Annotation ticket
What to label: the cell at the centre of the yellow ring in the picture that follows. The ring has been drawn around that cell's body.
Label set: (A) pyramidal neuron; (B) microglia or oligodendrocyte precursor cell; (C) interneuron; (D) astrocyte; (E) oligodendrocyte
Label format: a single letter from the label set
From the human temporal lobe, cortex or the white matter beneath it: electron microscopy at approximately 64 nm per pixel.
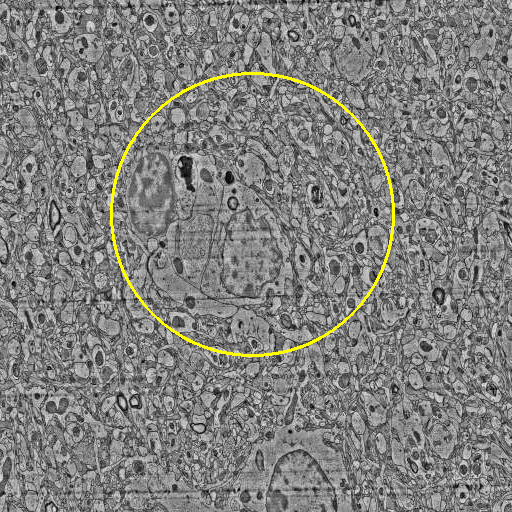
C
